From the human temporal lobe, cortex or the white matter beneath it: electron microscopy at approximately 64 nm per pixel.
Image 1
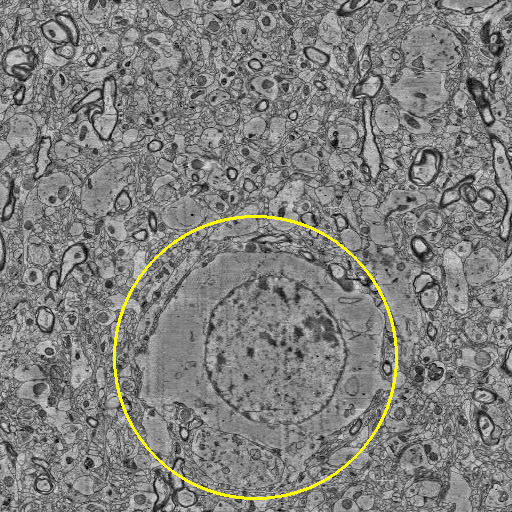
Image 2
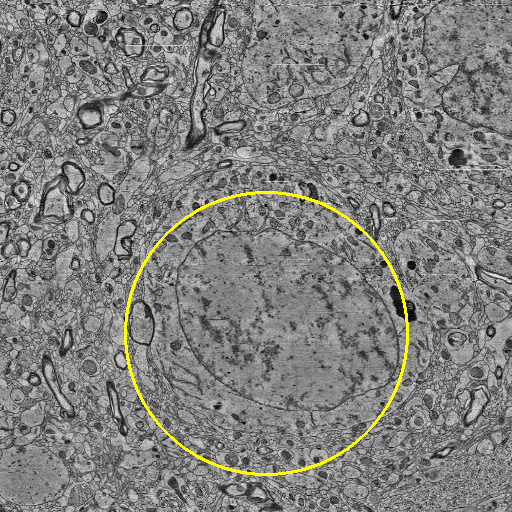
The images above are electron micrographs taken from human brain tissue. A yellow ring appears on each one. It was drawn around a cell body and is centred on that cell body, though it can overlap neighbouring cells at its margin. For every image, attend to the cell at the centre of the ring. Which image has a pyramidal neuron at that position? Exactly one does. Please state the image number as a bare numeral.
2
